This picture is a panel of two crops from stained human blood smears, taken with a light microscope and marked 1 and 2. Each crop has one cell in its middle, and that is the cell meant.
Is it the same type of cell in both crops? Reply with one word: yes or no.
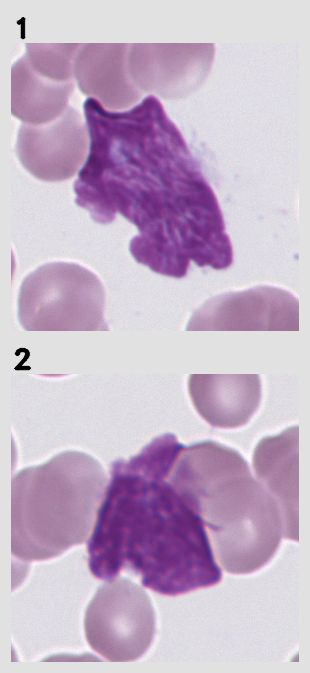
yes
